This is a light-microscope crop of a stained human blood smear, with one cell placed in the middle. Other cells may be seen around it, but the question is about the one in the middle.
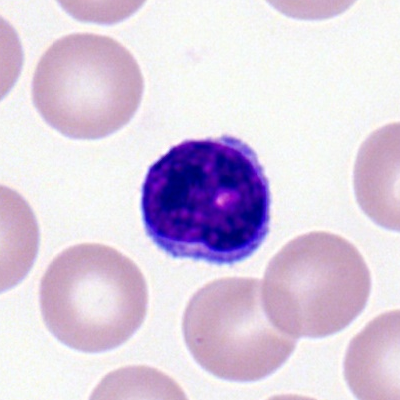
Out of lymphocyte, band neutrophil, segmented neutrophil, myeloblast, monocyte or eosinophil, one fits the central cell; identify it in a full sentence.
In the crop, the cell of interest at the centre is a lymphocyte.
